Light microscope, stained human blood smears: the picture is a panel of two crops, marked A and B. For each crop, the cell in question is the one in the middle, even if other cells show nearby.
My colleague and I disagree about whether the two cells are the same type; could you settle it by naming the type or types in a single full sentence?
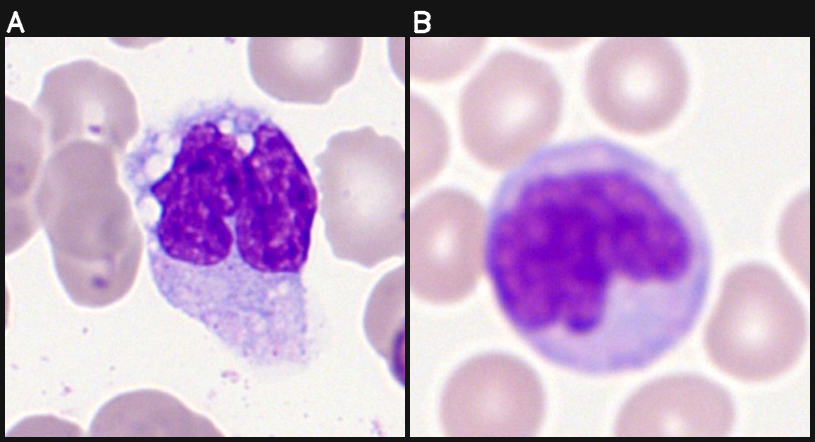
Yes, both crops show monocytes, with no exception.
